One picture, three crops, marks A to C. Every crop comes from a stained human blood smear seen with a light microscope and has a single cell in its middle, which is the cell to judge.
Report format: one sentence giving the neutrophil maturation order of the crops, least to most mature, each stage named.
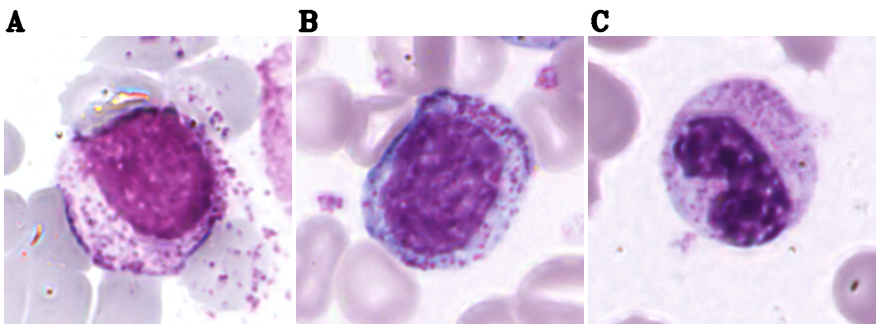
Starting with the least mature and ending with the most mature, the order is crop B (a promyelocyte), crop A (a myelocyte) and crop C (a band neutrophil).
